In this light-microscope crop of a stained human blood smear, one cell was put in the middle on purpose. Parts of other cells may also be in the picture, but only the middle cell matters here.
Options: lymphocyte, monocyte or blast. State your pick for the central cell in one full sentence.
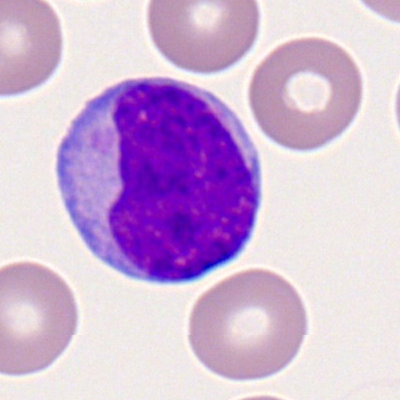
The cell at the middle of the crop is recognized as a blast.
